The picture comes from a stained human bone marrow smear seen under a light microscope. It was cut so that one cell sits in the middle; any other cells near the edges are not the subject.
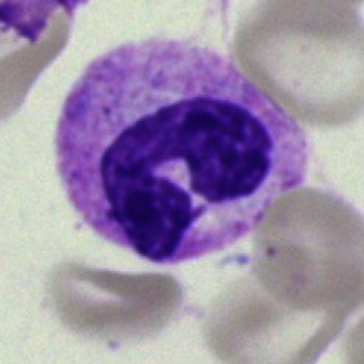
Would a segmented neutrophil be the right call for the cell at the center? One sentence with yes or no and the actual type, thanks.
No, this cell in the middle is a band neutrophil, so it is not a segmented neutrophil.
